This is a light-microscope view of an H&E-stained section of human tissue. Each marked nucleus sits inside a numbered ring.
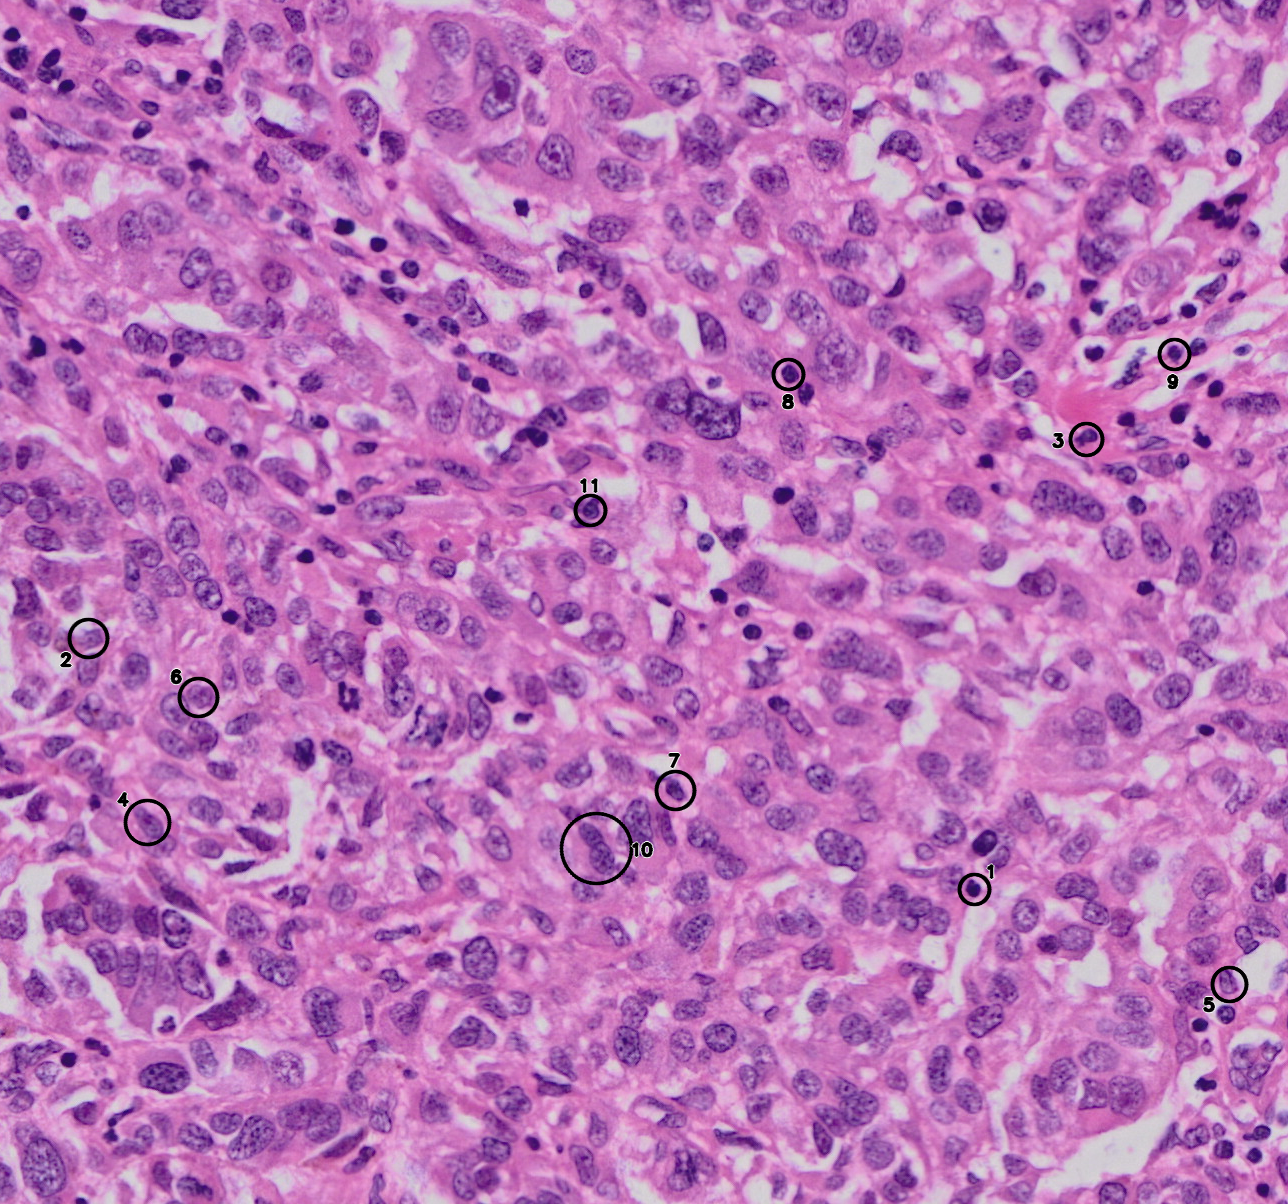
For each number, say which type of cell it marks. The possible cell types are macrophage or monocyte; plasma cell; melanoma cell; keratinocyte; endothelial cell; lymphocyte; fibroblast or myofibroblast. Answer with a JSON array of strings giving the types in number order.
["lymphocyte", "melanoma cell", "lymphocyte", "melanoma cell", "macrophage or monocyte", "melanoma cell", "lymphocyte", "lymphocyte", "lymphocyte", "melanoma cell", "lymphocyte"]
